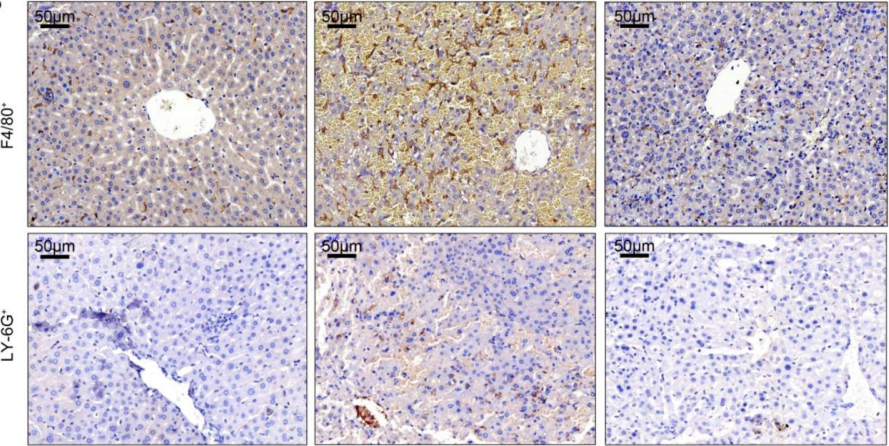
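Six fields of liver tissue counterstained in blue, in two rows of three. Large polygonal hepatocytes with round nuclei form cords radiating around round central vessel lumens, separated by narrow sinusoids. In the top row small, irregular brown-stained cells with slender processes sit within the sinusoids between the cords; in the middle field they are much more numerous and the background has a diffuse yellow-brown tint, while the outer fields show only scattered brown cells. In the bottom row brown staining is sparse, with a few small brown cells and faint brown patches most evident in the middle field.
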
